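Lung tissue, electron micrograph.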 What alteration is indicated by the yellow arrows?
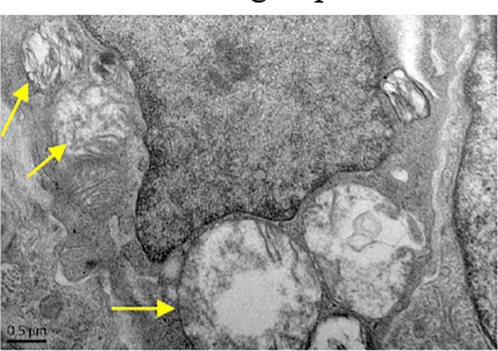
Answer: Mitochondrial swelling and vacuolization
